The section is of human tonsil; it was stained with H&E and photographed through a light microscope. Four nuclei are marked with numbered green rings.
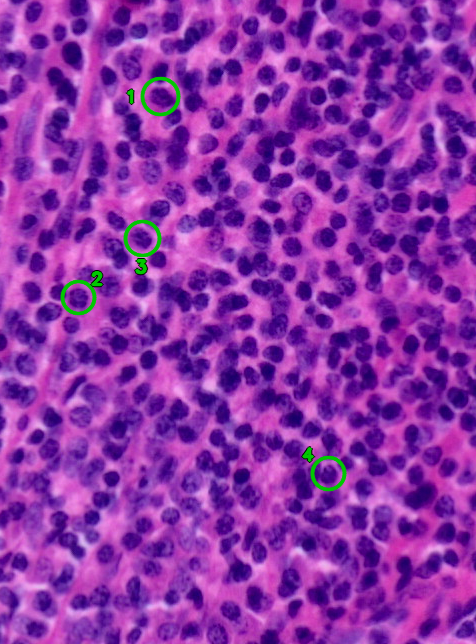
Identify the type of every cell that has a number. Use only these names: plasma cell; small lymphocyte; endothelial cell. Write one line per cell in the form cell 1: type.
cell 1: plasma cell
cell 2: plasma cell
cell 3: plasma cell
cell 4: small lymphocyte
